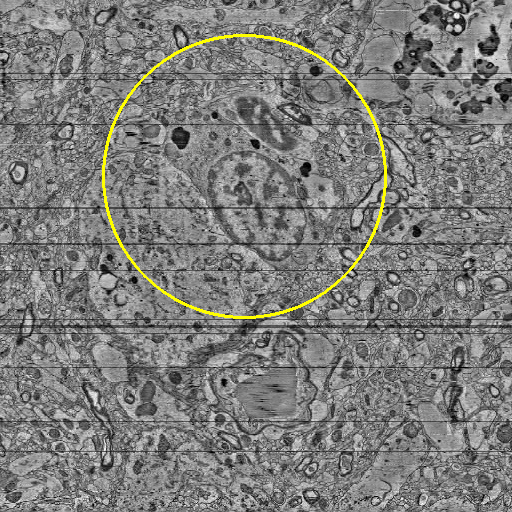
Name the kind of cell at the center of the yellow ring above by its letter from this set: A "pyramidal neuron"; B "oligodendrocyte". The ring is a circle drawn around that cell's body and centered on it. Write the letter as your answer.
B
